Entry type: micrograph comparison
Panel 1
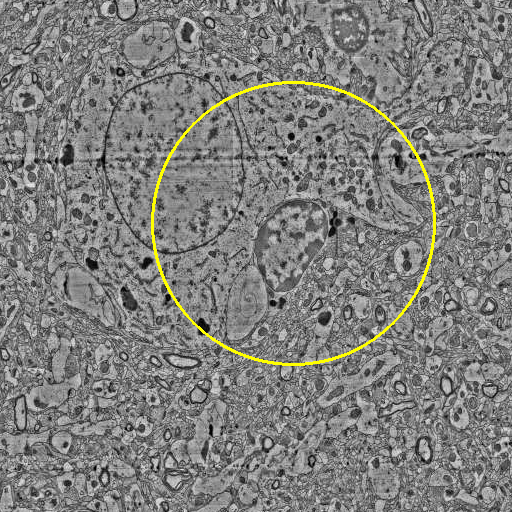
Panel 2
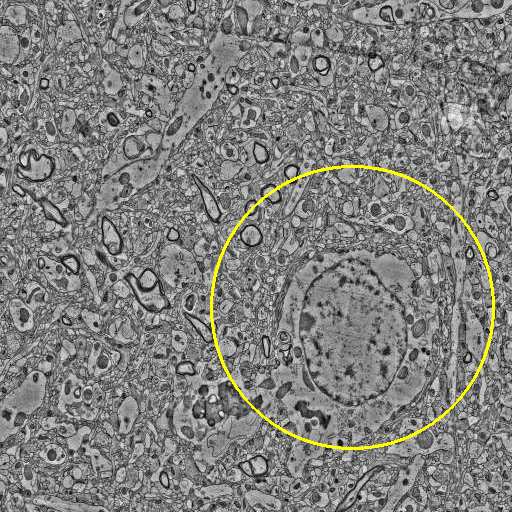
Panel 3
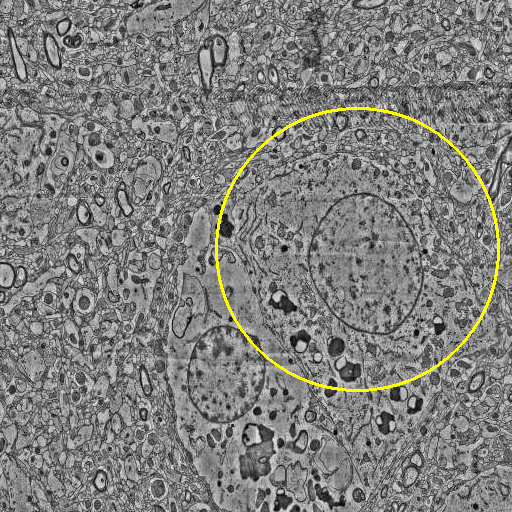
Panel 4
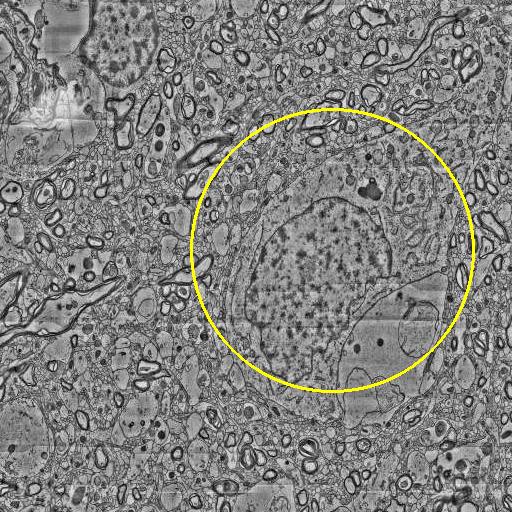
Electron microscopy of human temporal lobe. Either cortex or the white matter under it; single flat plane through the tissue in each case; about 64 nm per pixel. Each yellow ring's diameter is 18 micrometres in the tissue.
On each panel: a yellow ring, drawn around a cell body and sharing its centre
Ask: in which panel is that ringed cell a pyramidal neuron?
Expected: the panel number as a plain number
3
